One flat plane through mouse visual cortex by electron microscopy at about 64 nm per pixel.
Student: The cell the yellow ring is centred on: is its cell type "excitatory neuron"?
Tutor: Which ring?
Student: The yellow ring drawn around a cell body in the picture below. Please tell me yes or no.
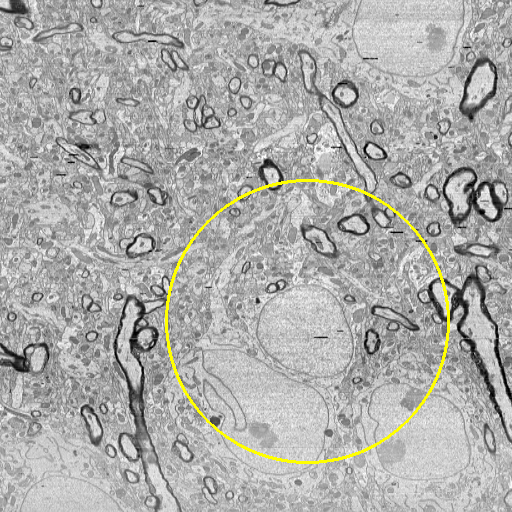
no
